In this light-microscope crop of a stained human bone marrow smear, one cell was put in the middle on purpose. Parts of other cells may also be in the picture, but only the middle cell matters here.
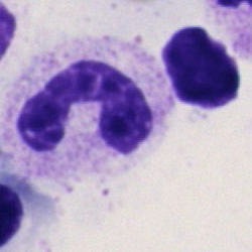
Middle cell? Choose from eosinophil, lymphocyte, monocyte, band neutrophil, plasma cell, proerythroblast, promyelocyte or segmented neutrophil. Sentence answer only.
Seen at the centre of the crop is a band neutrophil.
